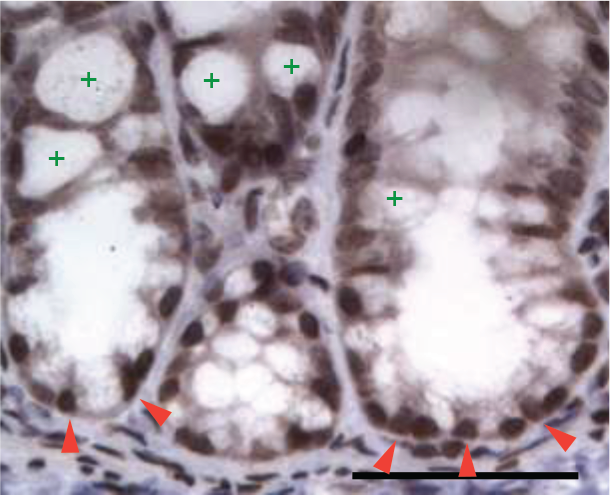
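The crypts are crowded with large pale, almost empty-looking cells filled with mucus, which push the other cells aside. The nuclei of the epithelial cells, especially those at the crypt bases, are stained dark brown. Thin bands of connective tissue between and below the crypts carry flattened nuclei that remain blue. The brown staining is strongest at the bottom of each crypt and fades higher up.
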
